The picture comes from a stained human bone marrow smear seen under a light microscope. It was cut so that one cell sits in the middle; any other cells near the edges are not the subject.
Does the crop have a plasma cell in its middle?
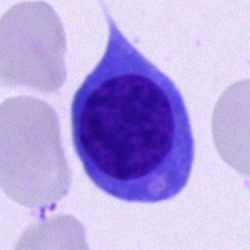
yes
